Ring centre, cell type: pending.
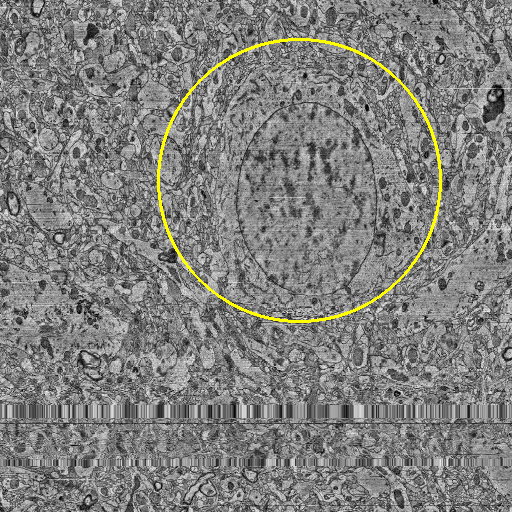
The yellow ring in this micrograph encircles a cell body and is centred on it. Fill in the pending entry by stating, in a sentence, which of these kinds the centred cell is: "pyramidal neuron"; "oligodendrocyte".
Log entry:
The centred cell is recorded as a pyramidal neuron.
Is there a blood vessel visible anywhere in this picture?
No, the picture includes no blood vessel.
